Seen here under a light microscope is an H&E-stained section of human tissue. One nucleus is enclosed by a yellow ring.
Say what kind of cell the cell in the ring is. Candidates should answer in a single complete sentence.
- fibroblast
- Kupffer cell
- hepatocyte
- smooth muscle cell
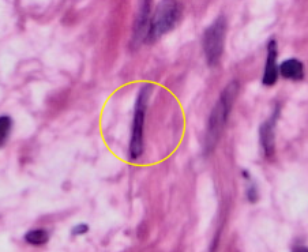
For the purposes of cell typing, the cell in the ring is categorized as a fibroblast.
